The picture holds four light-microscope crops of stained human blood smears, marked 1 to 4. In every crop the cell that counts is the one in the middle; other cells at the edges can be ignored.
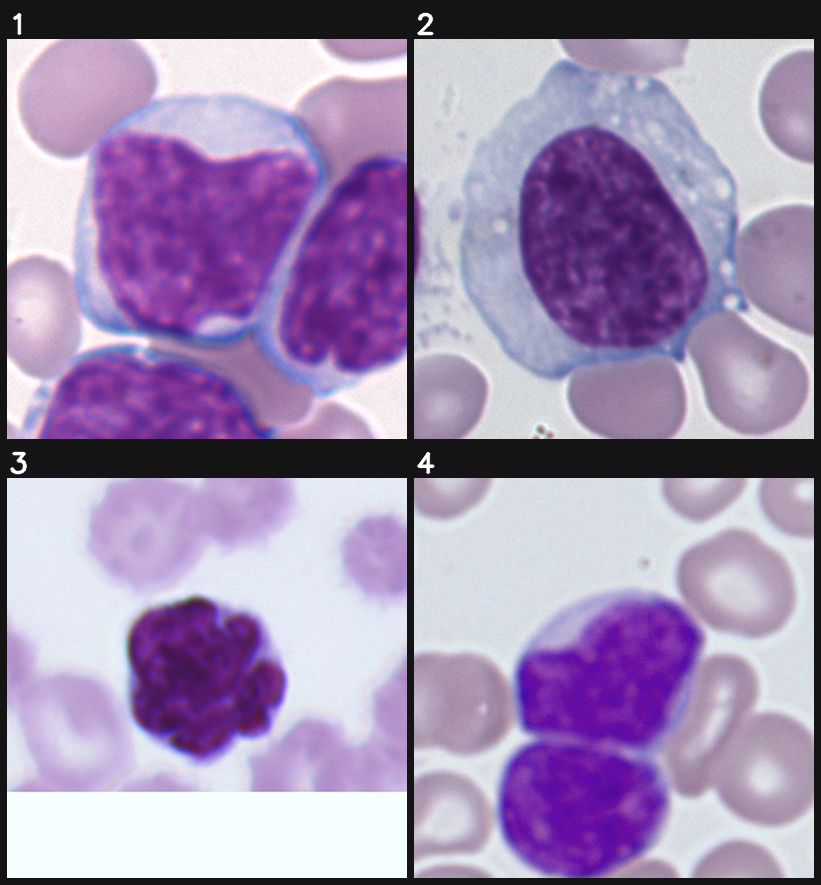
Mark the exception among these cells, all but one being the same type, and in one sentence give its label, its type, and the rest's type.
Unlike the rest, which all show blasts, crop 3 contains a lymphocyte.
